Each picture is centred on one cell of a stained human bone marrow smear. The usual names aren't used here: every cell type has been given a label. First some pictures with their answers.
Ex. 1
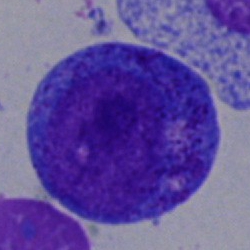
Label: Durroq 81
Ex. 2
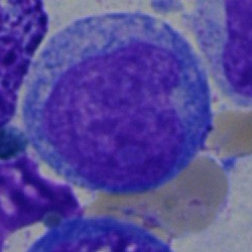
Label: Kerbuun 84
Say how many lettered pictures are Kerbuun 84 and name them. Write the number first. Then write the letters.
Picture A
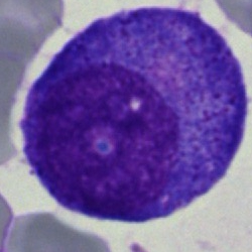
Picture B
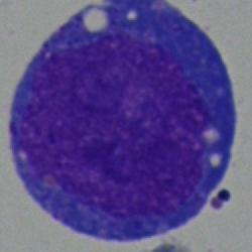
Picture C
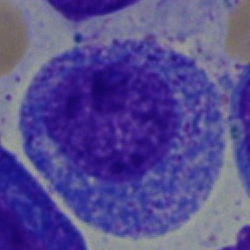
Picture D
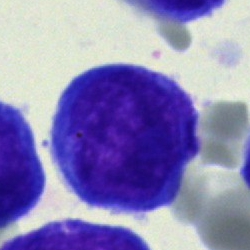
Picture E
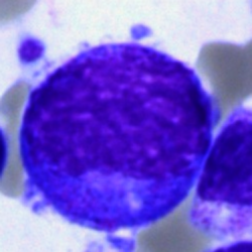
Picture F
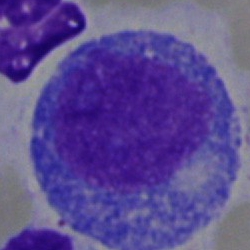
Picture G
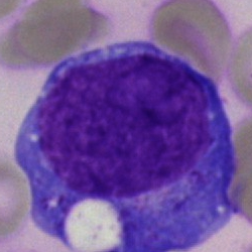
3: B, D, G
